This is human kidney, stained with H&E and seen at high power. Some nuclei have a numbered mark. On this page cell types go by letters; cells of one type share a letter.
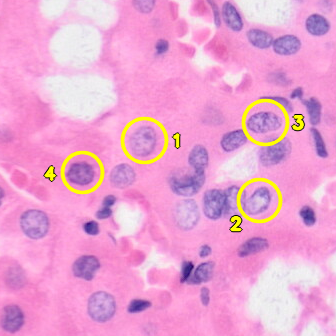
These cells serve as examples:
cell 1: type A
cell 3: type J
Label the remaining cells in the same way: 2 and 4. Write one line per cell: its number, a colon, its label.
2: type J
4: type A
